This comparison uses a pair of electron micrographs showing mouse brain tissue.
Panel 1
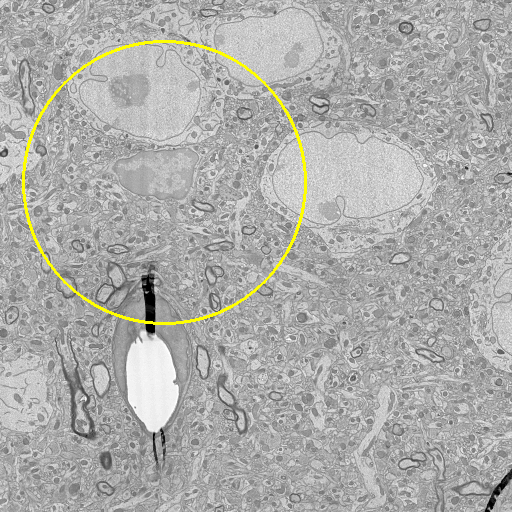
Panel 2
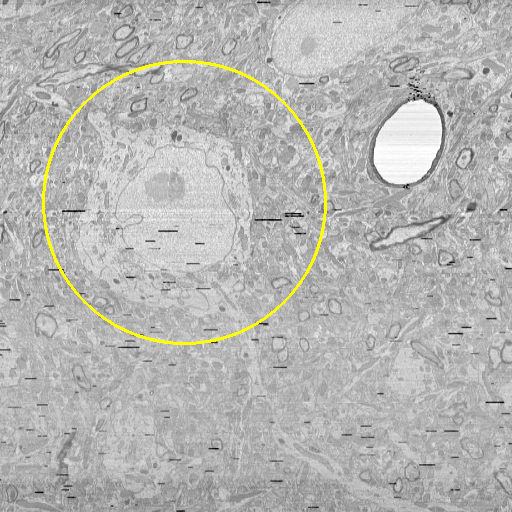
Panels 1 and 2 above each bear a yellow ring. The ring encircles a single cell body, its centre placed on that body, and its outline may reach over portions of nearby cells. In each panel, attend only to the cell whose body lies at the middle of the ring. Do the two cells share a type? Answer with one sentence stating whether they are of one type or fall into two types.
In Panel 1 and Panel 2, the cells at the centres of the rings fall into two types.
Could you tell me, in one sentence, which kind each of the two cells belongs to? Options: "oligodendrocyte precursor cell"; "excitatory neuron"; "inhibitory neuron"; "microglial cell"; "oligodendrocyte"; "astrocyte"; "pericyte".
At the centre of the first ring sits a microglial cell, and at the centre of the second sits an excitatory neuron.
